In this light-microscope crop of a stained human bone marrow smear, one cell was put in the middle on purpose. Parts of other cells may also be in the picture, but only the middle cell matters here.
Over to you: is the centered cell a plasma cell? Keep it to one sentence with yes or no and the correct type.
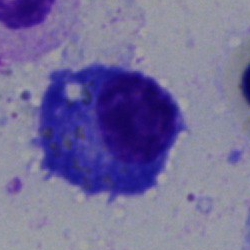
Yes, the cell located at the center is a plasma cell.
